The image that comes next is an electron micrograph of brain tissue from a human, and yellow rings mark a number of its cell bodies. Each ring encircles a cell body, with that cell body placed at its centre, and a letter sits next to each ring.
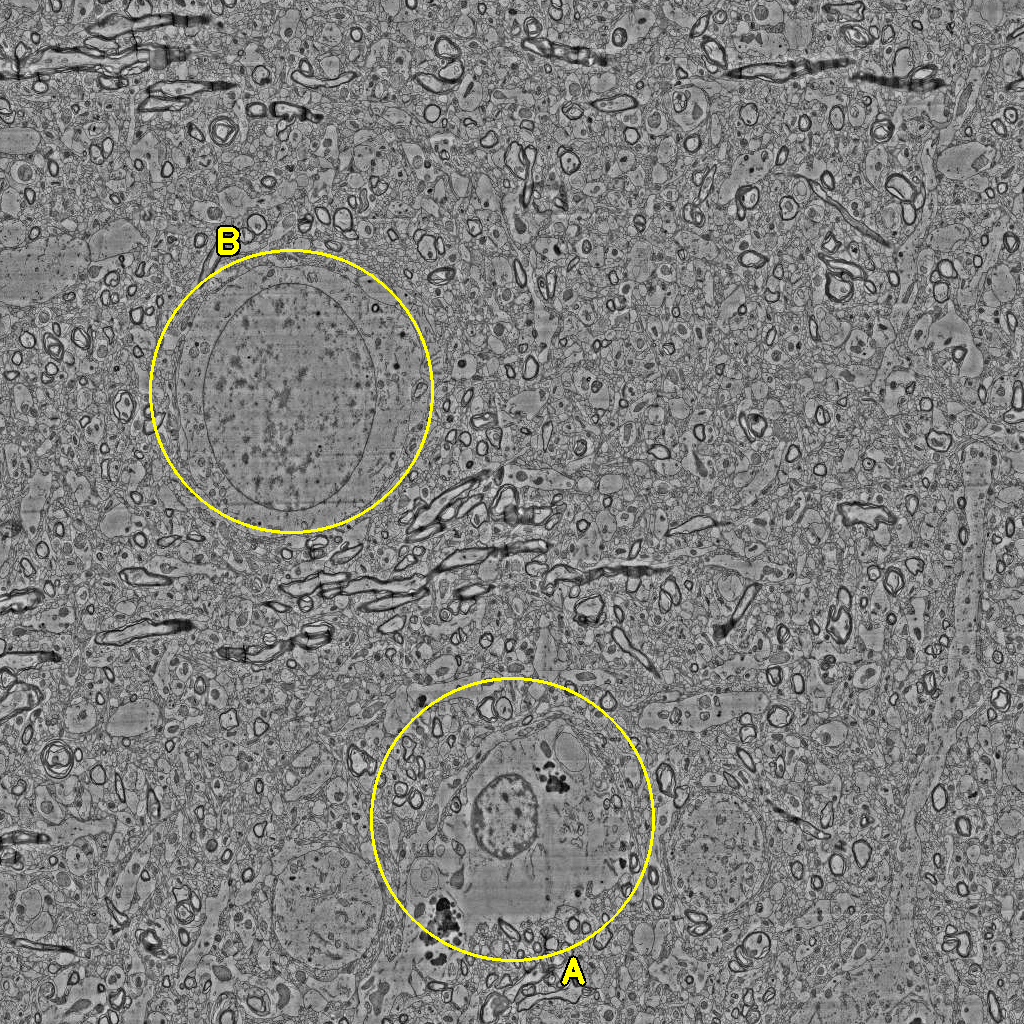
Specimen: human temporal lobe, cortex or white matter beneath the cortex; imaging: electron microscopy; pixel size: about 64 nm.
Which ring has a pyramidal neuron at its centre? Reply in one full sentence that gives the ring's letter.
In the image, ring B has the cell the question asks for at its centre.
